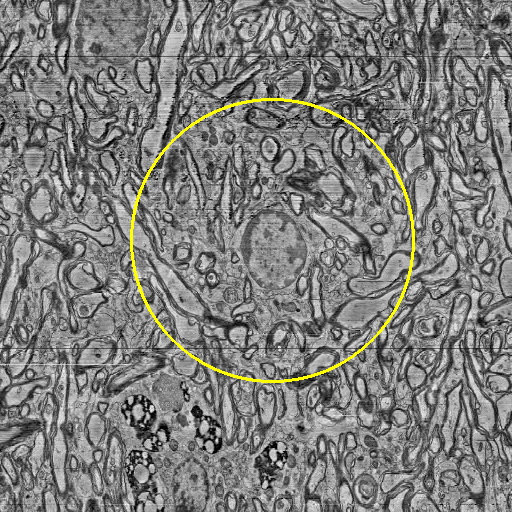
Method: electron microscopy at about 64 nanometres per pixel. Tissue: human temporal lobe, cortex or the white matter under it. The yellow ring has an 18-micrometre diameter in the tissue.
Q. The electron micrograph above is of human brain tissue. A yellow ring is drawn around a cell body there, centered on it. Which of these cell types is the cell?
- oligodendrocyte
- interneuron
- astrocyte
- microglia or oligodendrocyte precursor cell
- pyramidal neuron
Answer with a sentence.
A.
The cell under the ring's center is a microglial cell or oligodendrocyte precursor cell.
